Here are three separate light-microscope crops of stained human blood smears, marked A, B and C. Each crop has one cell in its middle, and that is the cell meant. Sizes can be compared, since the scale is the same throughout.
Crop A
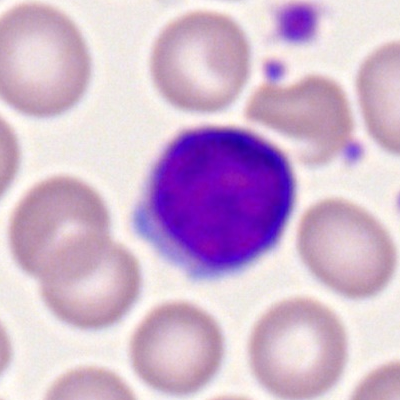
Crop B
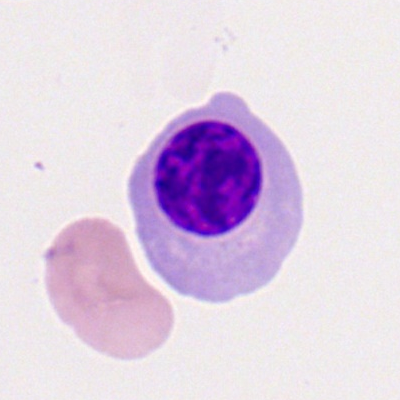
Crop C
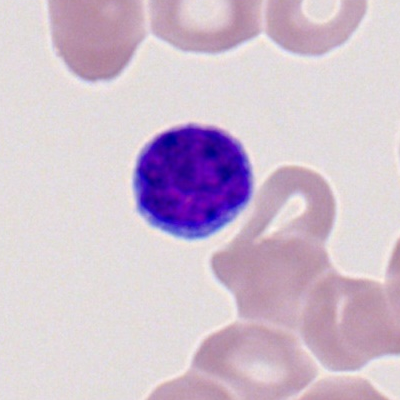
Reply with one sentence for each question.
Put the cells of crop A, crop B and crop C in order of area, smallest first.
Going up, they run C, A, B.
